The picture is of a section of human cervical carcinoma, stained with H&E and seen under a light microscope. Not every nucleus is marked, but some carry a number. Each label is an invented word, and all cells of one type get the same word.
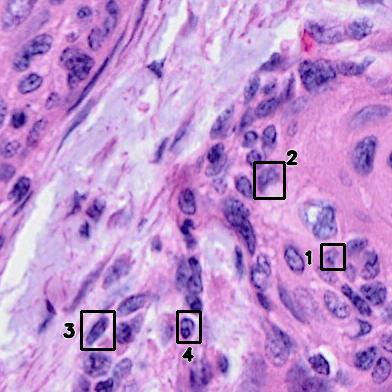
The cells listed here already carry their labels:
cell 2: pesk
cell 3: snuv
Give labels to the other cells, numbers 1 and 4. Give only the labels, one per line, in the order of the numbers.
pesk
snuv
